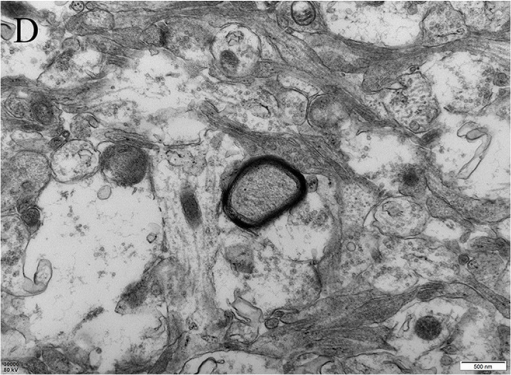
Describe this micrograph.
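The axon is wrapped by a thick, dark, compact myelin sheath forming a smooth closed ring around a lighter, finely textured axoplasm. Around it lie many pale unmyelinated processes, some containing mitochondria and small clear vesicles, and bundles of longitudinally cut fine filaments. A few rounded profiles hold dark-cored bodies. The sheath lamellae appear tightly packed without visible splitting.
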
